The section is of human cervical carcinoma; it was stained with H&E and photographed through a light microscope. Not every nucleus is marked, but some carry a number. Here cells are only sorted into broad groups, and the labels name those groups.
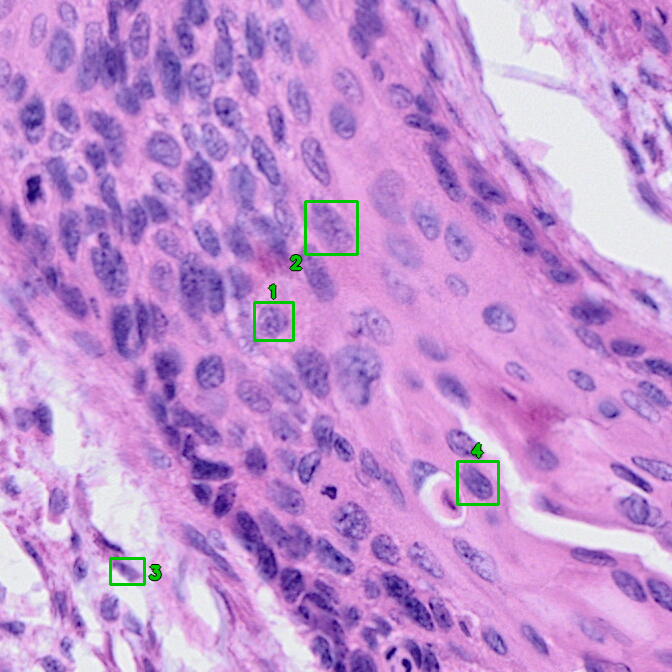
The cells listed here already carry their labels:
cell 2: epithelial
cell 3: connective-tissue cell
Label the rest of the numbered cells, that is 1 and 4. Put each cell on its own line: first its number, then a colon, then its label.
1: epithelial
4: epithelial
